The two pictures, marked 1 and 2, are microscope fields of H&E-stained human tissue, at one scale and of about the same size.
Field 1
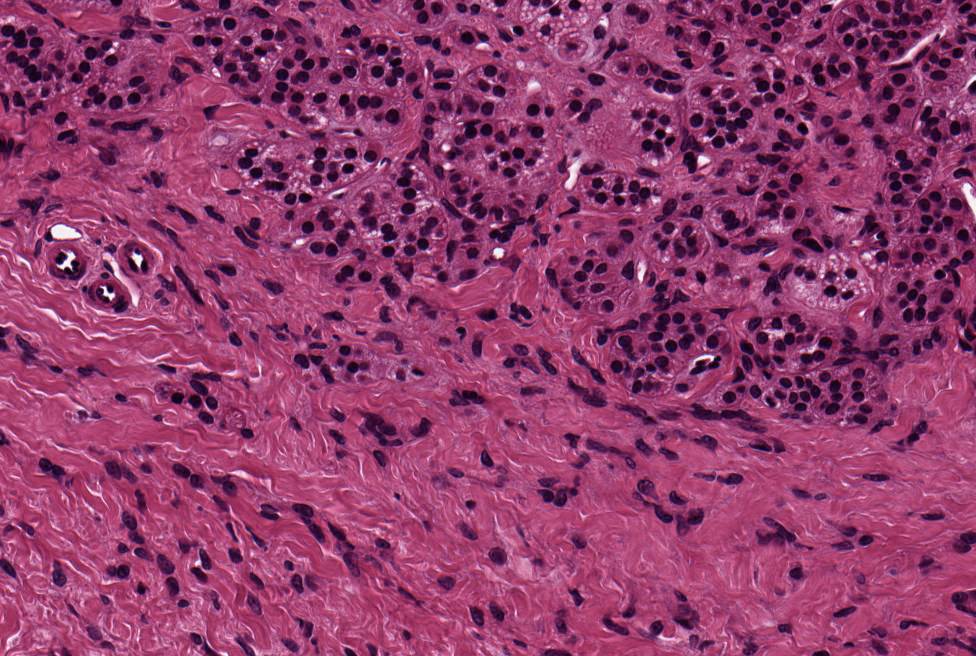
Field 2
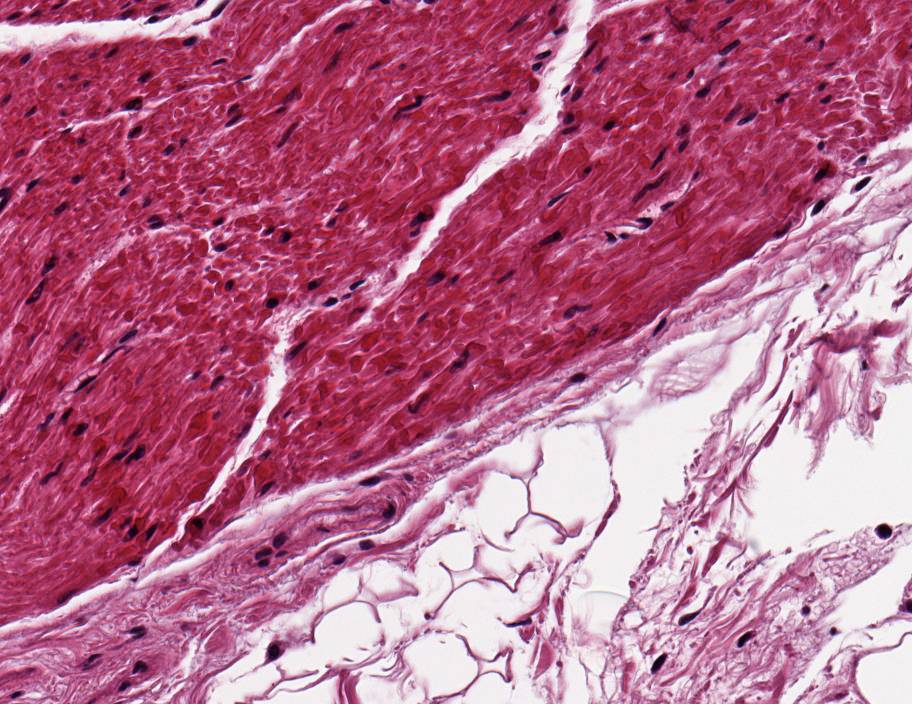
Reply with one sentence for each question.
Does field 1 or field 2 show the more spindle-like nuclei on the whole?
The nuclei are more elongated in field 2.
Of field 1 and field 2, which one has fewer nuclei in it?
Fewer nuclei lie in field 2 than in field 1.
